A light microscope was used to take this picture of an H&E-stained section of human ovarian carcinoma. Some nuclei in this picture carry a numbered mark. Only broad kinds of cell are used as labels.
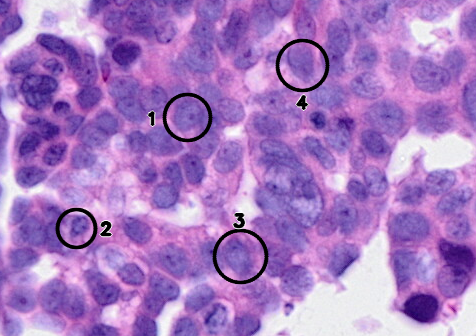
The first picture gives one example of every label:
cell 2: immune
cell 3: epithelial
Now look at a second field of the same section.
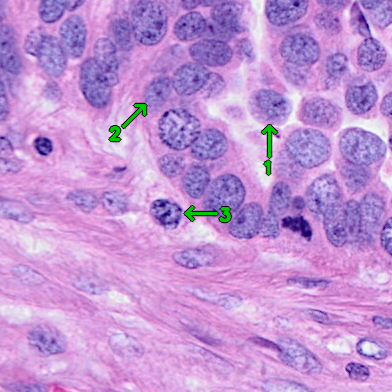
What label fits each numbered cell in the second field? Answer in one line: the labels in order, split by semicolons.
epithelial; epithelial; immune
